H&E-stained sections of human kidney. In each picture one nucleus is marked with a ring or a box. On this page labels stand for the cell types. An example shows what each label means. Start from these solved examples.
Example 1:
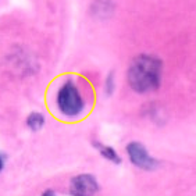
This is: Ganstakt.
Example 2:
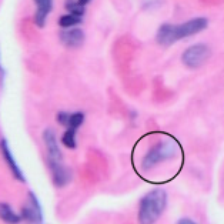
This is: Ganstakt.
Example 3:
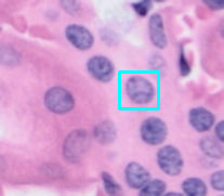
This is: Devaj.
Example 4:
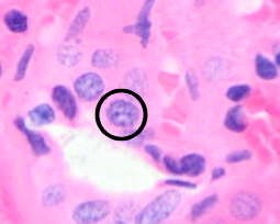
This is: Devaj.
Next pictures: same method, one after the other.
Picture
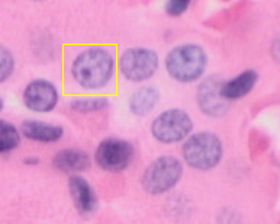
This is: Devaj.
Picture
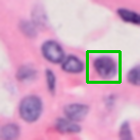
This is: Devaj.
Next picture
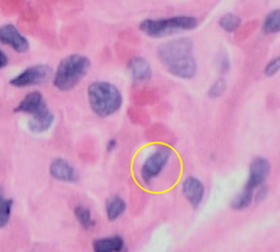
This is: Ganstakt.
